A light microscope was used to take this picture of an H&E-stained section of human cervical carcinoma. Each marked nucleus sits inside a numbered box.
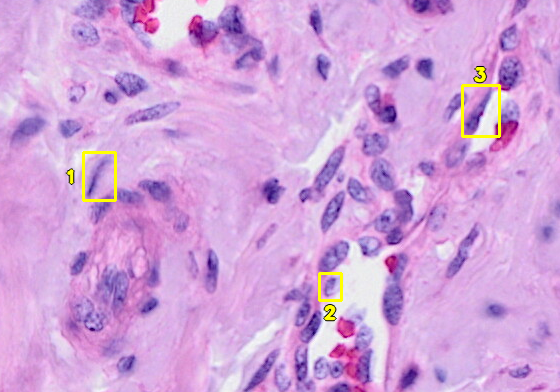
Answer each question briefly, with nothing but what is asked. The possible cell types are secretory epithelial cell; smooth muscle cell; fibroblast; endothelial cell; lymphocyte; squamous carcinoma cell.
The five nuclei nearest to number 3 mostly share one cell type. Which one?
endothelial cell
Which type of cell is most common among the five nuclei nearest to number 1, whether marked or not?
smooth muscle cell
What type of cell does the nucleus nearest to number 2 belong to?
endothelial cell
